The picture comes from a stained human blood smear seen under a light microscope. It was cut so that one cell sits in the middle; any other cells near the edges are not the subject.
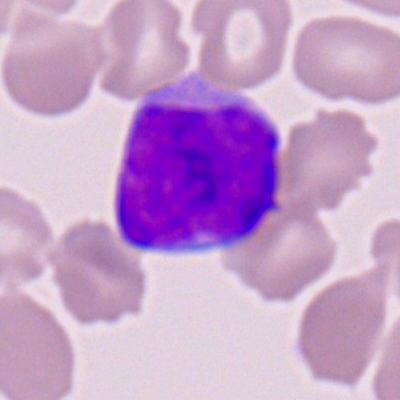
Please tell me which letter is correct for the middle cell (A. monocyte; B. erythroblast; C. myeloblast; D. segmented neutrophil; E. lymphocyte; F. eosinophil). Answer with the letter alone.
C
